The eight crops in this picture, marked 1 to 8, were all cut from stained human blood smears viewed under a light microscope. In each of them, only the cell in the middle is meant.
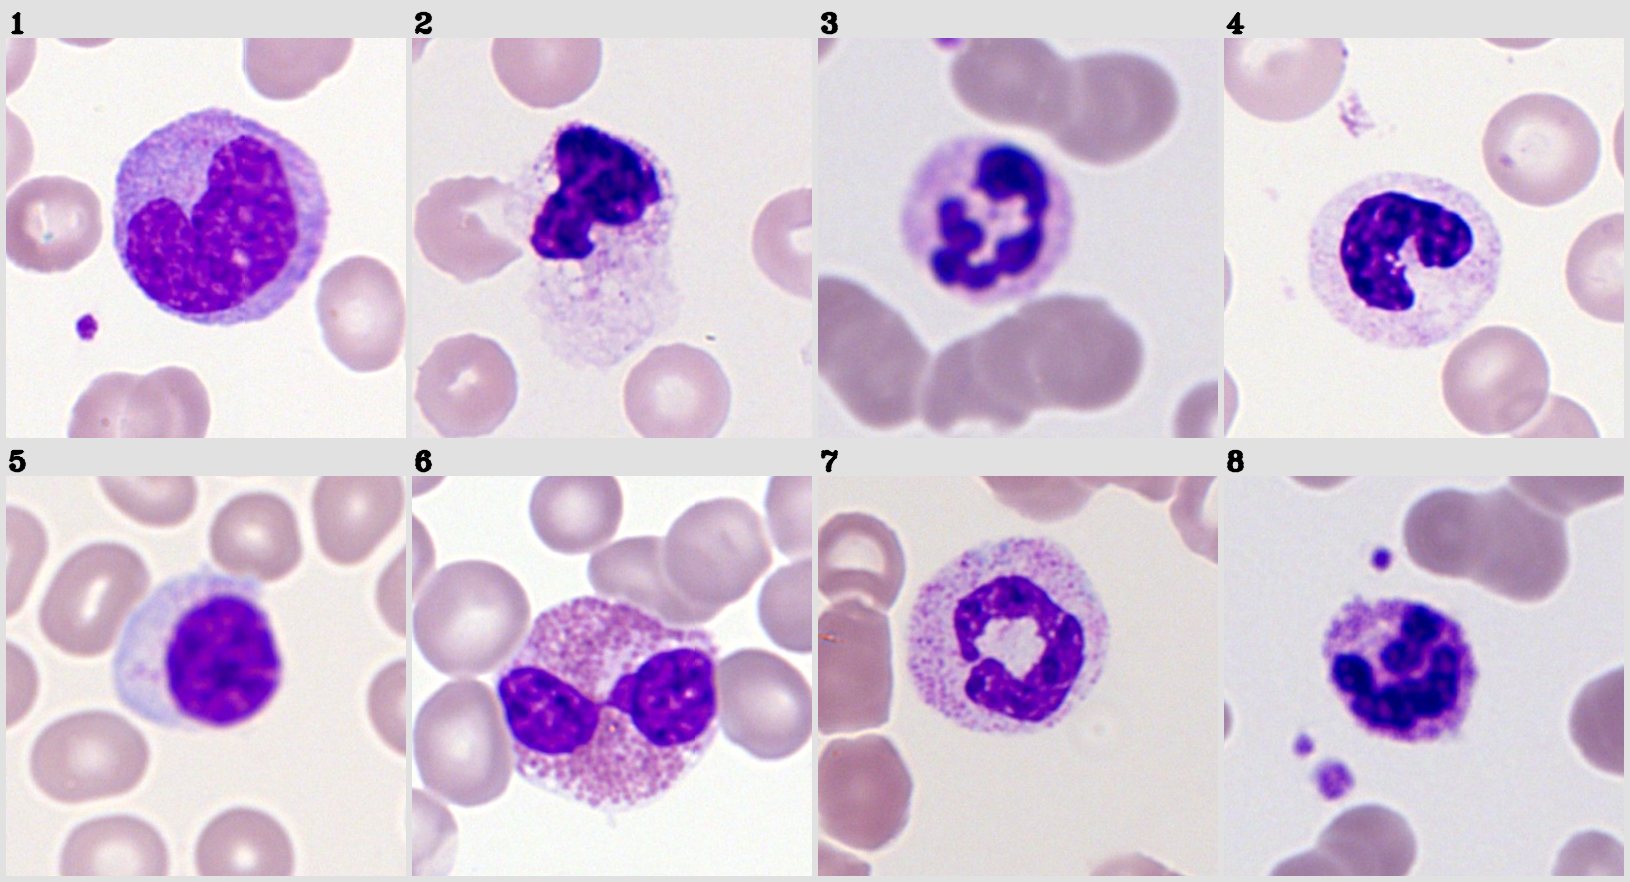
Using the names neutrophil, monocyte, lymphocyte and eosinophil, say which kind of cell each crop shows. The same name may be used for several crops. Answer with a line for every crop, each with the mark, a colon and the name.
1: monocyte
2: neutrophil
3: neutrophil
4: neutrophil
5: lymphocyte
6: eosinophil
7: neutrophil
8: neutrophil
